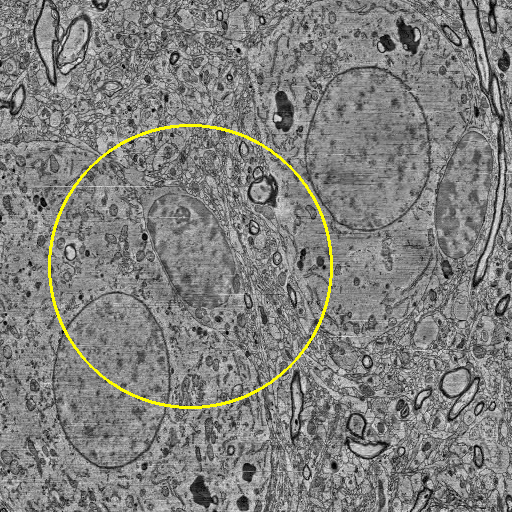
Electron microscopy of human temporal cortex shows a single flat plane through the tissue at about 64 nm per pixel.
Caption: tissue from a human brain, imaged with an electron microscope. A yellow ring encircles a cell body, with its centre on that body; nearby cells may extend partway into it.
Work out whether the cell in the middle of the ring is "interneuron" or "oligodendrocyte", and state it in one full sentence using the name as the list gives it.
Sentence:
In the picture, the cell that the yellow ring surrounds at its centre is an oligodendrocyte.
